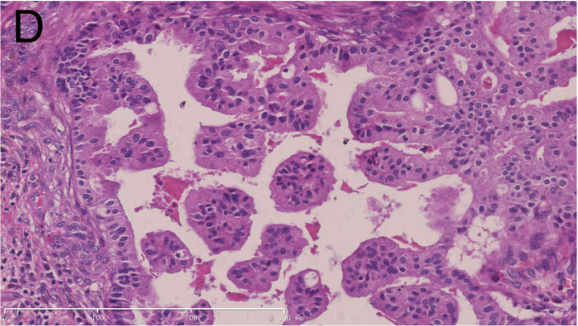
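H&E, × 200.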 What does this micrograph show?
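A lumen holds many small rounded clusters of epithelial cells that seem to float free, with no stromal core in them. The cells have pink cytoplasm and enlarged, round to oval nuclei, some with visible nucleoli. Around the lumen the epithelium is crowded and several cells thick, with a few small gland-like spaces in it. A thin band of fibrous stroma borders the epithelium at one side. These detached tufts are a micropapillary proliferation of the lining epithelium.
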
